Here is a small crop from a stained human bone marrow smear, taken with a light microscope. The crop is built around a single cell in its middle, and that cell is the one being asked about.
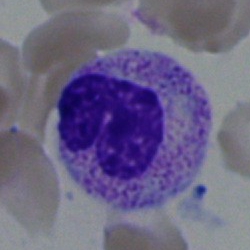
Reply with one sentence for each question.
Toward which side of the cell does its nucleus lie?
It is shifted toward the left of the cell.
